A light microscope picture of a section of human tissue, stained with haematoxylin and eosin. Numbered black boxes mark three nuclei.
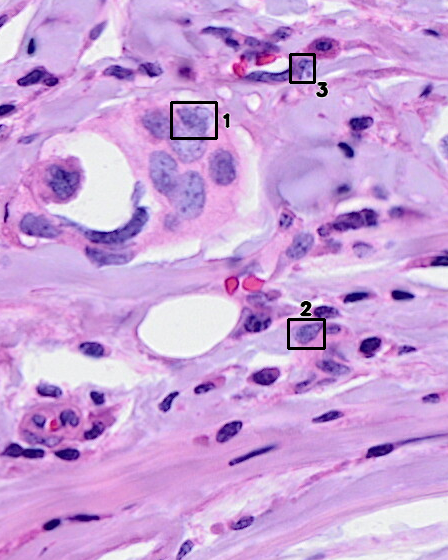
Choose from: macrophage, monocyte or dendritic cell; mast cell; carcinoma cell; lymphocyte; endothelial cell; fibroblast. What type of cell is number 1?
carcinoma cell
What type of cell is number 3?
endothelial cell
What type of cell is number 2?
endothelial cell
